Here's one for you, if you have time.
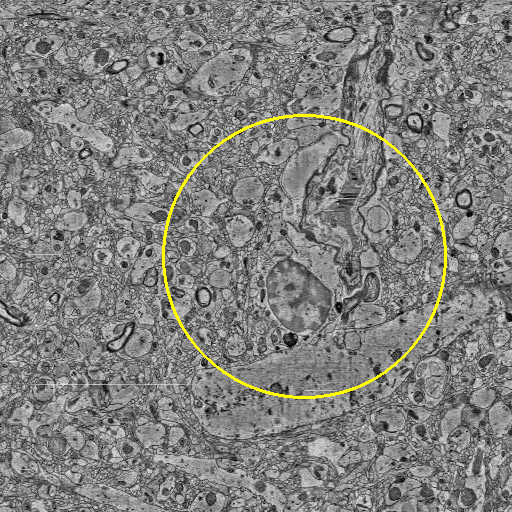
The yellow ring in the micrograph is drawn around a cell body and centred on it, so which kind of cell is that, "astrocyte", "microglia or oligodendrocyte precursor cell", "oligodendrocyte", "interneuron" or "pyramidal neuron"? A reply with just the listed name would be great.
microglia or oligodendrocyte precursor cell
